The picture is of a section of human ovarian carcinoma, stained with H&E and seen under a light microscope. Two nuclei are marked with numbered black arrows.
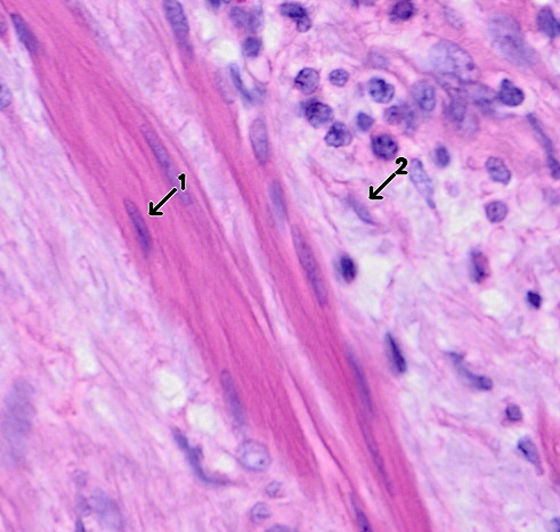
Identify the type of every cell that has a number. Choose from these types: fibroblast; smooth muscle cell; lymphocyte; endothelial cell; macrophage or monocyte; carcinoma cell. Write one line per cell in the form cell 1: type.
cell 1: smooth muscle cell
cell 2: fibroblast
